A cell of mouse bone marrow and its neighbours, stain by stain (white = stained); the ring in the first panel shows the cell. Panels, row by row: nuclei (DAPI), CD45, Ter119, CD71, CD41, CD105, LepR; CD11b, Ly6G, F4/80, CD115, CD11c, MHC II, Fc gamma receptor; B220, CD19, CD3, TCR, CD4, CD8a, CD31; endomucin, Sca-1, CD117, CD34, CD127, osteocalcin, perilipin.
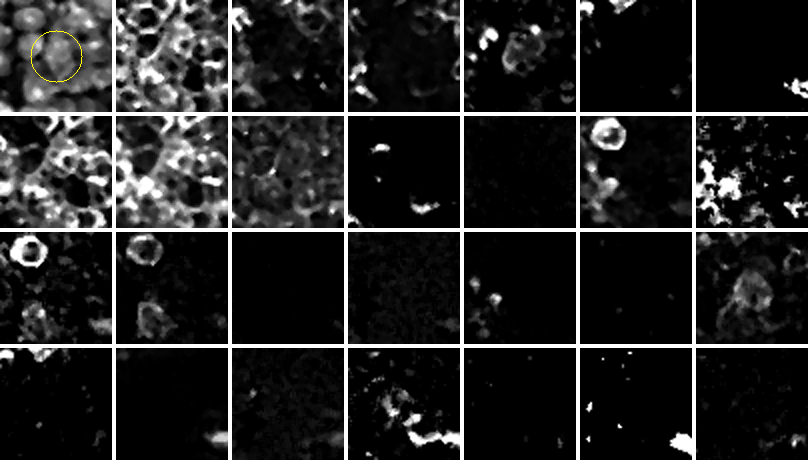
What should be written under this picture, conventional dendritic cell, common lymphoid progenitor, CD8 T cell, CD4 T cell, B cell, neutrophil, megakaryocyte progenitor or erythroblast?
neutrophil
